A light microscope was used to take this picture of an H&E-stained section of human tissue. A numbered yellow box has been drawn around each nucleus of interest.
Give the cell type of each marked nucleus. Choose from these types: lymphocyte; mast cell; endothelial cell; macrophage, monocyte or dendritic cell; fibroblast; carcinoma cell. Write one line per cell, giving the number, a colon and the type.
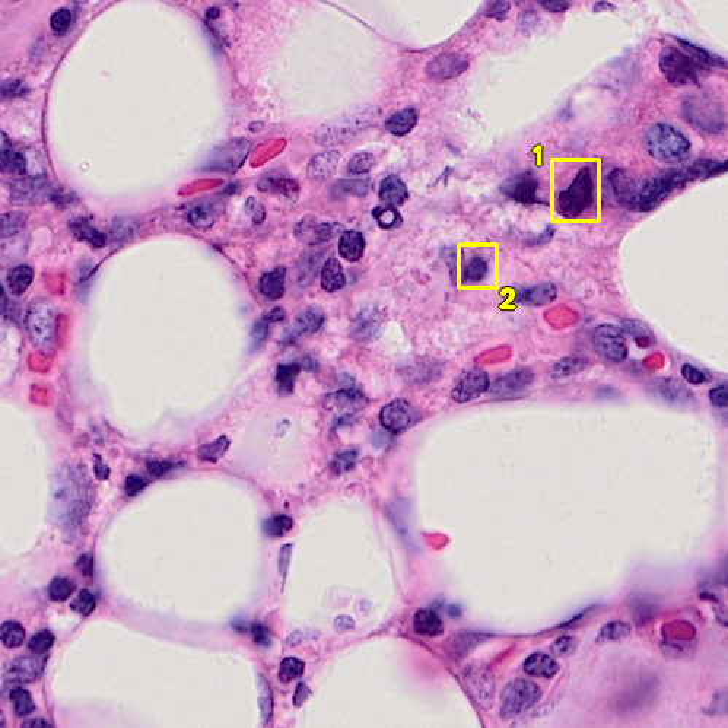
1: carcinoma cell
2: lymphocyte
